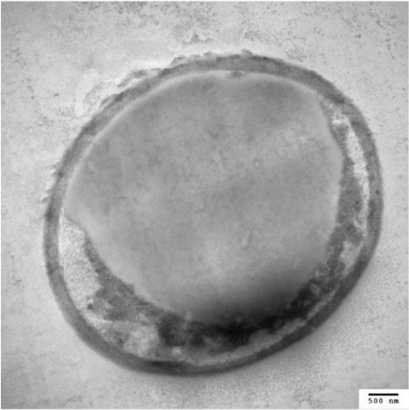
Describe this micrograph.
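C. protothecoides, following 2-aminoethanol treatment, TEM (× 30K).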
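A single rounded algal cell is seen in section, enclosed by a thick, dark, continuous cell wall. The cell body has pulled away from the wall over part of its circumference, leaving a pale, finely granular space between them. The cytoplasm is mottled, with darker, denser material gathered along parts of its edge and a more uniform grey centre.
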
